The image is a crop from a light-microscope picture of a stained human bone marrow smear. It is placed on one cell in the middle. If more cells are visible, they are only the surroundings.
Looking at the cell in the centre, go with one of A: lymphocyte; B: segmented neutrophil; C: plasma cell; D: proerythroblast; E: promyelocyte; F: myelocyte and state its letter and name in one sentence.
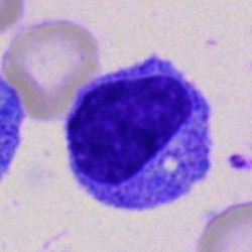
The cell in the middle is correctly identified as a myelocyte in option F.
